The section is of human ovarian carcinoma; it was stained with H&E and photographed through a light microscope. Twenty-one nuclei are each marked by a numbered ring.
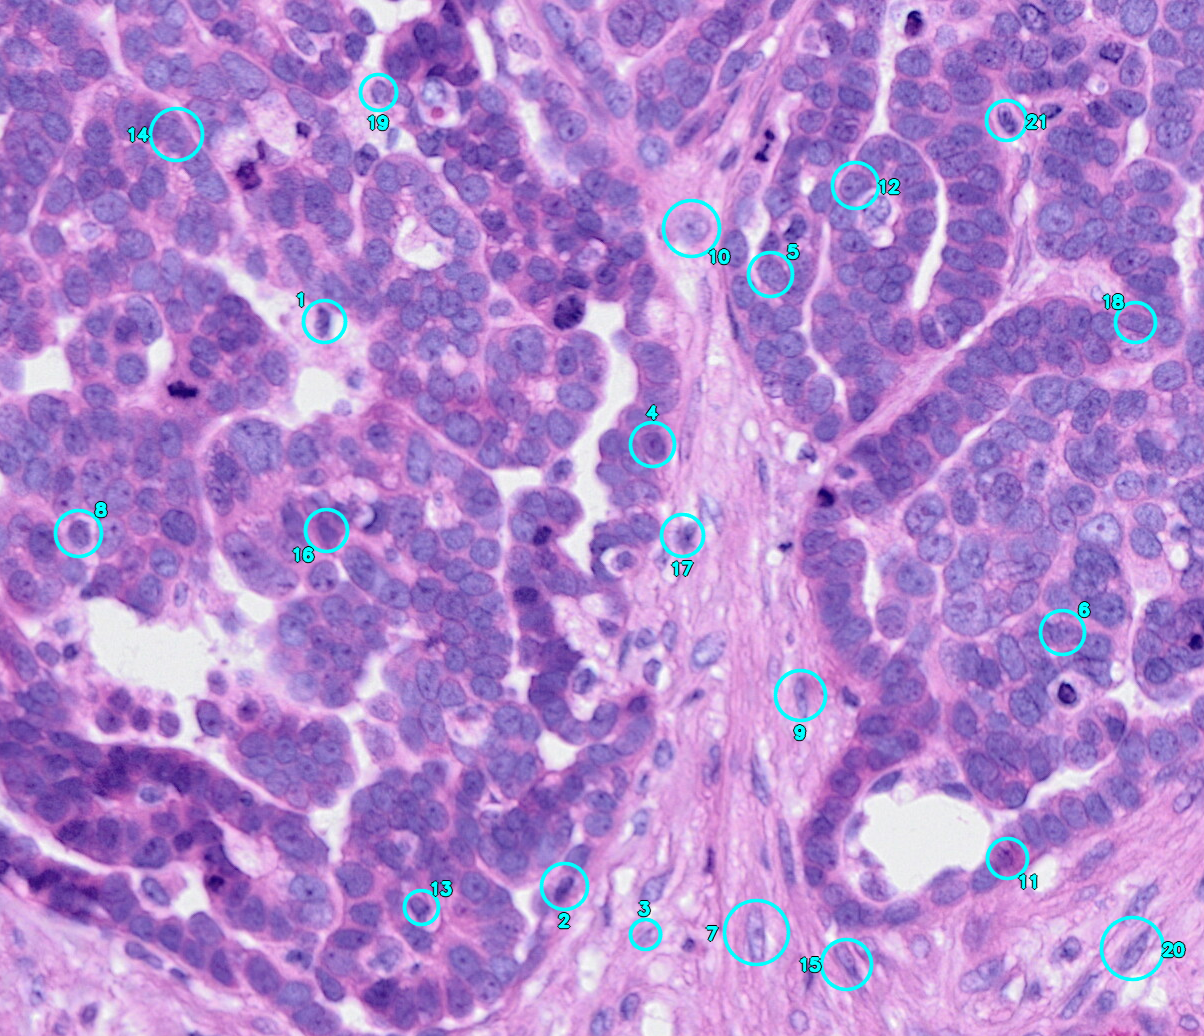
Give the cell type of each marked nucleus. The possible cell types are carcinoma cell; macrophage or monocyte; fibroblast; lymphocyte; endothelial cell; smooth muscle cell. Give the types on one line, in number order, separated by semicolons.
macrophage or monocyte; macrophage or monocyte; fibroblast; carcinoma cell; carcinoma cell; carcinoma cell; fibroblast; macrophage or monocyte; fibroblast; fibroblast; carcinoma cell; carcinoma cell; macrophage or monocyte; carcinoma cell; fibroblast; carcinoma cell; macrophage or monocyte; carcinoma cell; macrophage or monocyte; fibroblast; macrophage or monocyte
